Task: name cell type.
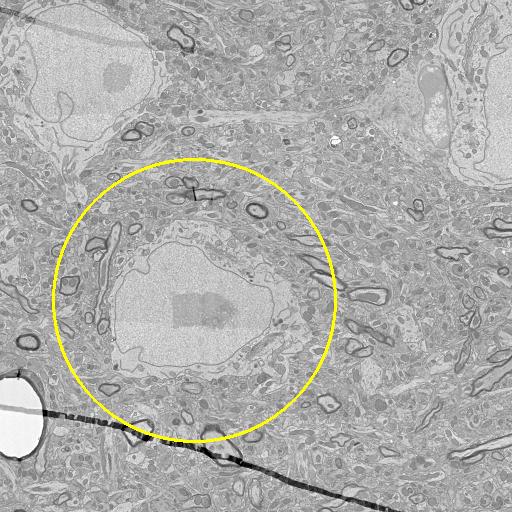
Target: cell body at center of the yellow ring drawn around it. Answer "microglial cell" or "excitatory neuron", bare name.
excitatory neuron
